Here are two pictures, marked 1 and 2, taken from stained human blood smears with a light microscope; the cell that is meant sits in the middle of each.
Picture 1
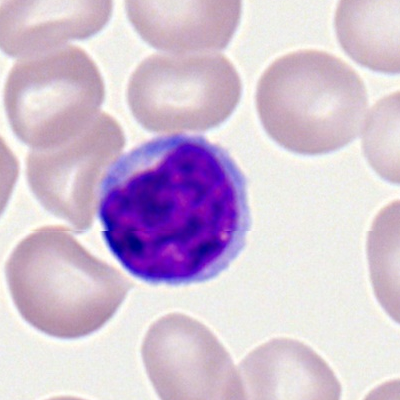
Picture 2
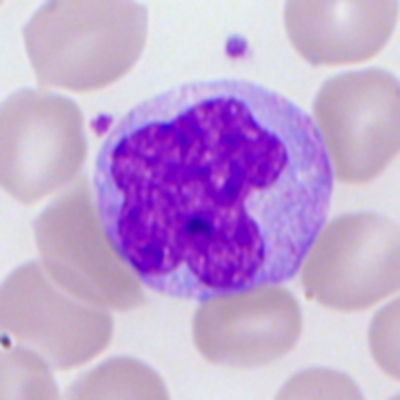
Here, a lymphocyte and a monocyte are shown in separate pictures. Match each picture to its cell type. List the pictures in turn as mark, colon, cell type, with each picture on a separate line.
1: lymphocyte
2: monocyte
